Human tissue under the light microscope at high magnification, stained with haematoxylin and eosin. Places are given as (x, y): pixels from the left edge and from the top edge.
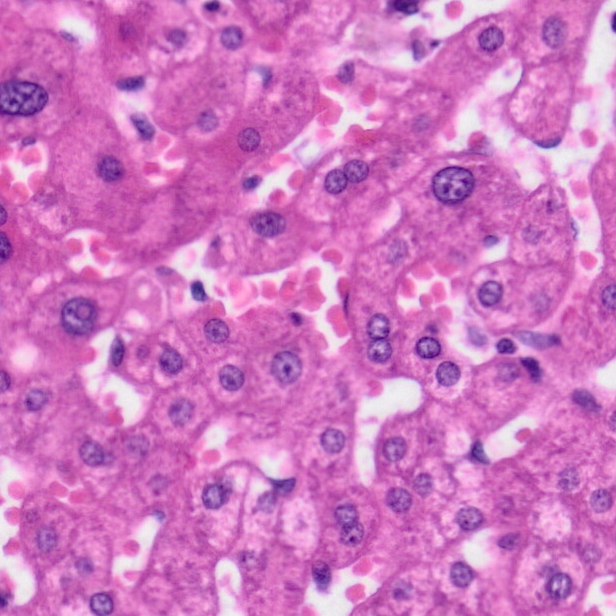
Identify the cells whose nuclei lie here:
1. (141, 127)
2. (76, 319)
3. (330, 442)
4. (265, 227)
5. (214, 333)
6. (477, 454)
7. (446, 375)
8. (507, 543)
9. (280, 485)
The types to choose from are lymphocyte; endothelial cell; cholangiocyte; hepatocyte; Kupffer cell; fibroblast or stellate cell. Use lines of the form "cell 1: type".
cell 1: Kupffer cell
cell 2: hepatocyte
cell 3: hepatocyte
cell 4: hepatocyte
cell 5: hepatocyte
cell 6: endothelial cell
cell 7: hepatocyte
cell 8: Kupffer cell
cell 9: endothelial cell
